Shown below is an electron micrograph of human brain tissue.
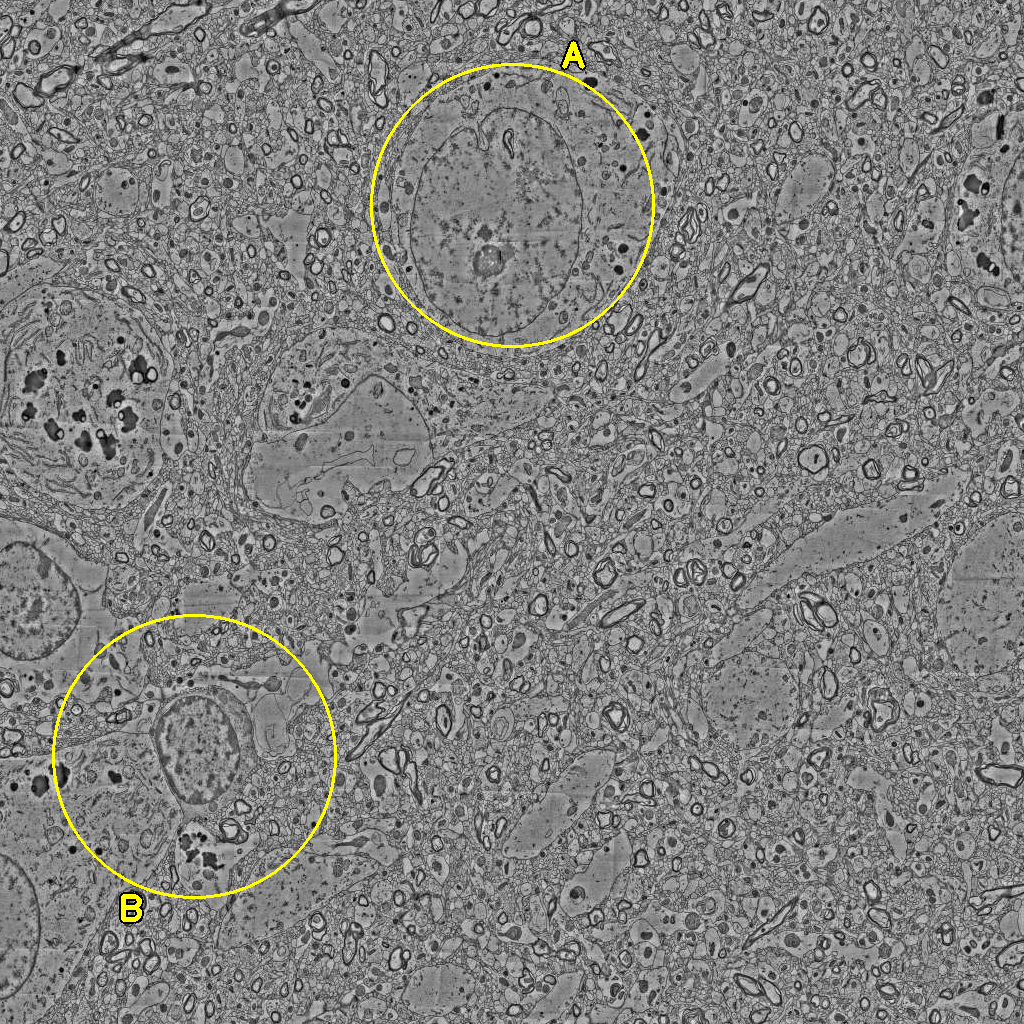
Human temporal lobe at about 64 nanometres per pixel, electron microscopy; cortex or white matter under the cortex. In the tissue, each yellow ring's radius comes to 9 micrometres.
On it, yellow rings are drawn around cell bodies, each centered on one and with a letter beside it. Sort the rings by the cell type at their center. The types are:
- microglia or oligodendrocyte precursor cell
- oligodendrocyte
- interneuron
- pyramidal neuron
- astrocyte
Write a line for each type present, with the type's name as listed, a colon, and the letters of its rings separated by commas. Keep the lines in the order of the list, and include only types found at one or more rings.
oligodendrocyte: B
pyramidal neuron: A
